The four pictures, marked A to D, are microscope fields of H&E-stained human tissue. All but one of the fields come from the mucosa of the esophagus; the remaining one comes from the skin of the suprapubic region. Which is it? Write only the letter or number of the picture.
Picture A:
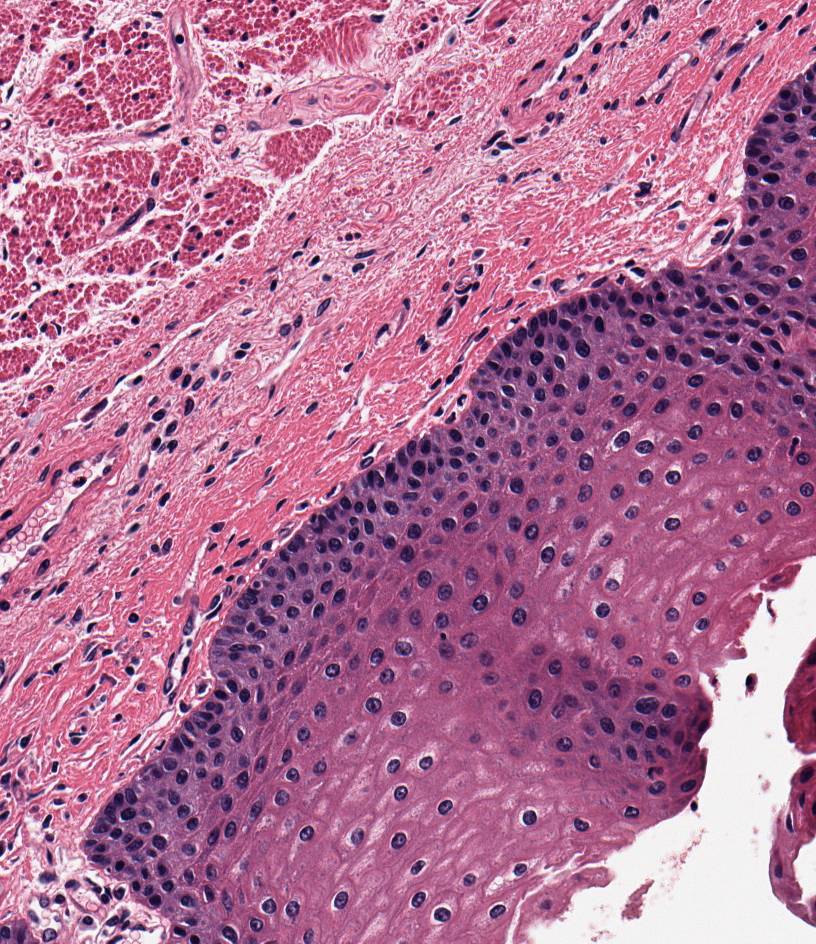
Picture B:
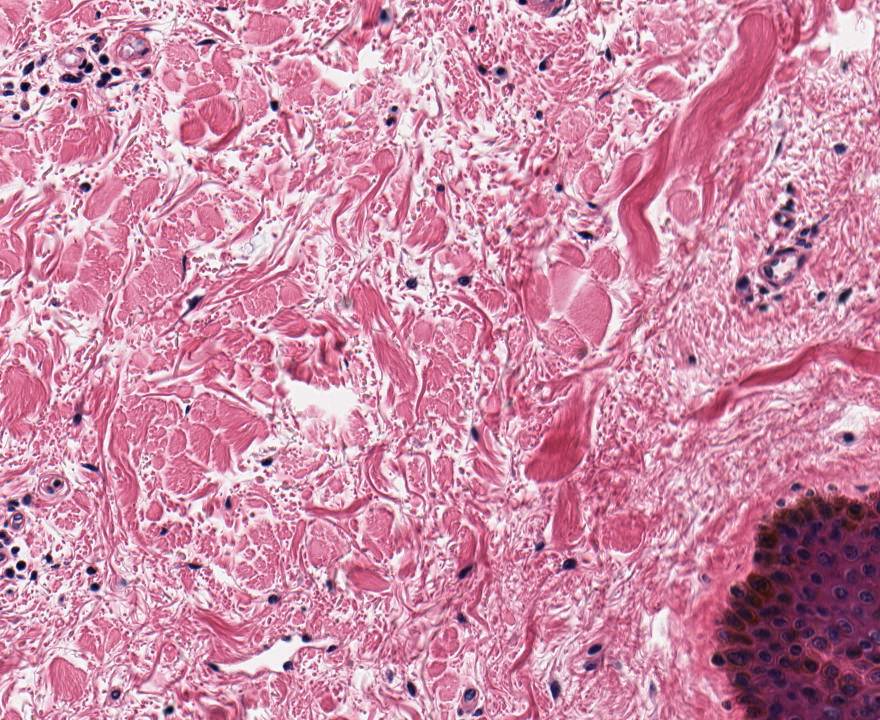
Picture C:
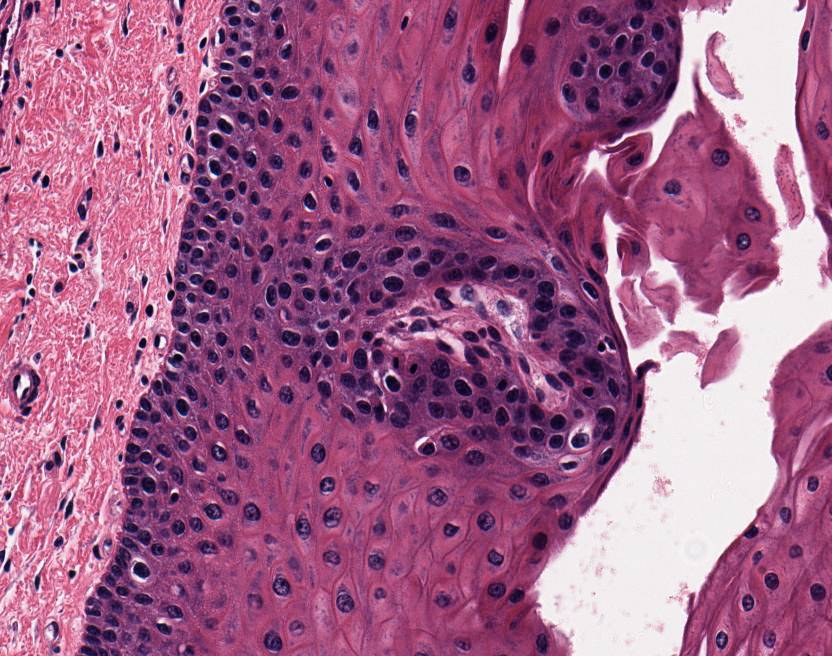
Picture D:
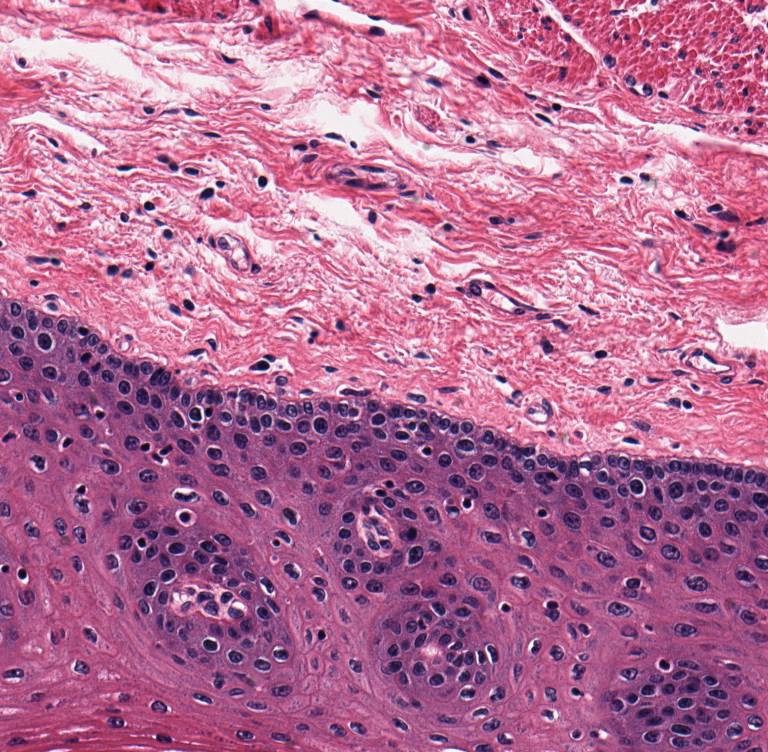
B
